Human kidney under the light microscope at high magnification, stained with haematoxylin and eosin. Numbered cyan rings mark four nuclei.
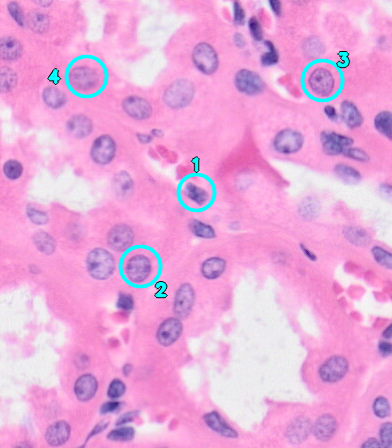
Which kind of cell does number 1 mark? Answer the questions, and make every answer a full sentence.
The cell pointed out by number 1 is an endothelial cell.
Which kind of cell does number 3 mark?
The cell whose nucleus carries the number 3 is a proximal tubule cell.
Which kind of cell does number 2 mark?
The correct answer for cell 2 is a proximal tubule cell.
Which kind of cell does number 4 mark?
In this section, the cell numbered 4 is a proximal tubule cell.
